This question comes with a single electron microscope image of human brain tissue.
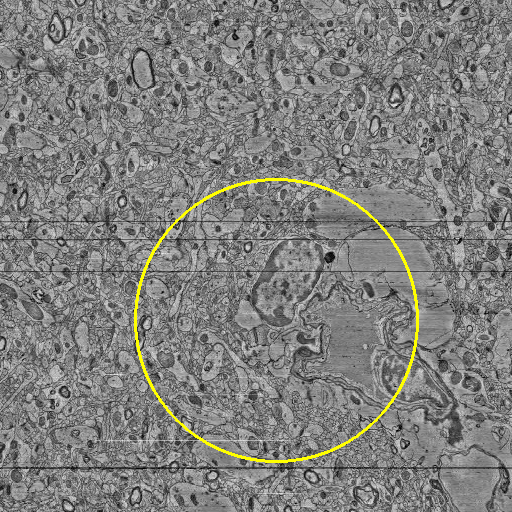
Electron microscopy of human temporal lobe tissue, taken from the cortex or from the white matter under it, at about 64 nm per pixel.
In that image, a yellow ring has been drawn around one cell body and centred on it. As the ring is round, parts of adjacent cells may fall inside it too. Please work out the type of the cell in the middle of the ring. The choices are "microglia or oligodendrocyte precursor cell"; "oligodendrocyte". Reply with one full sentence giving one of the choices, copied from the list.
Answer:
Of the choices, a microglial cell or oligodendrocyte precursor cell is the cell sitting in the middle of the ring.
